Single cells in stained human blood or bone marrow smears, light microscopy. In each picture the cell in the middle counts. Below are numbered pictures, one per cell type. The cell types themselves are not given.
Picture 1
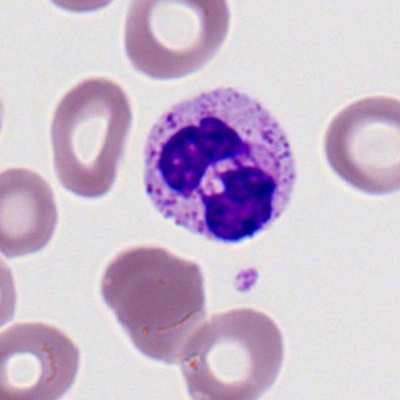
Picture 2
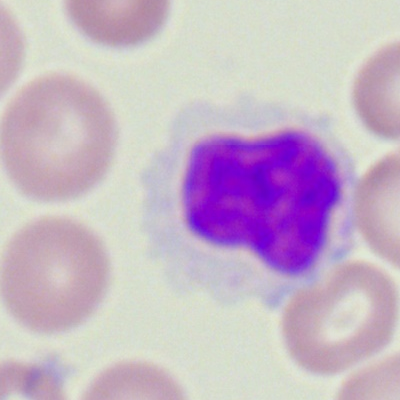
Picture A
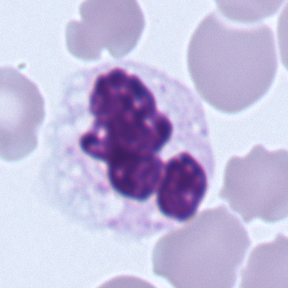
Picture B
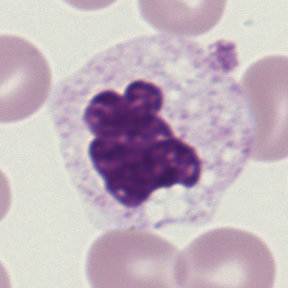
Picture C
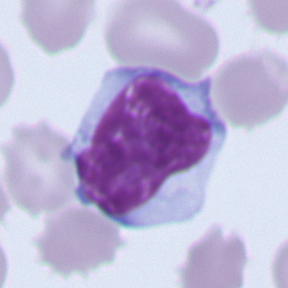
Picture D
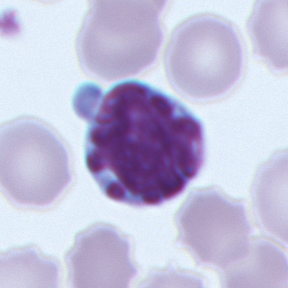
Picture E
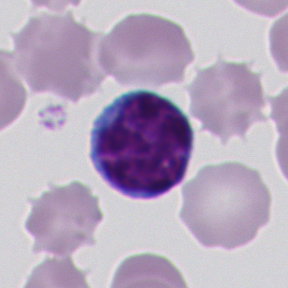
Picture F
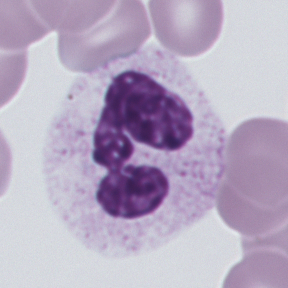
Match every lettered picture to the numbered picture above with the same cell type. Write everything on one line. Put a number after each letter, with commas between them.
A 1, B 1, C 2, D 2, E 2, F 1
